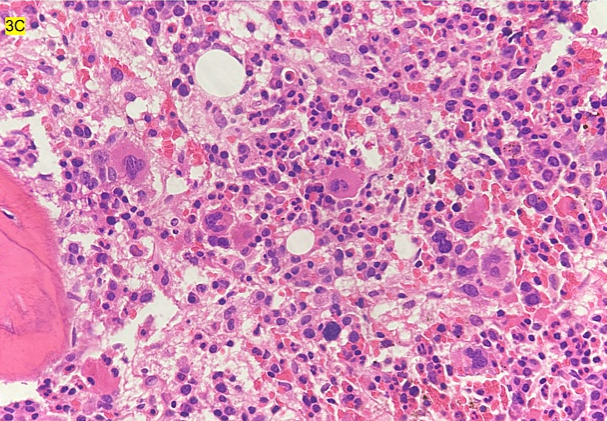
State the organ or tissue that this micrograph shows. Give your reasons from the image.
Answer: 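Bone marrow. Round empty fat spaces lie among the cells. A mixed population of small round blood-forming cells with scattered red blood cells. Several very large cells with abundant pink cytoplasm and lobulated nuclei. A homogeneous pink fragment at the left edge.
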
